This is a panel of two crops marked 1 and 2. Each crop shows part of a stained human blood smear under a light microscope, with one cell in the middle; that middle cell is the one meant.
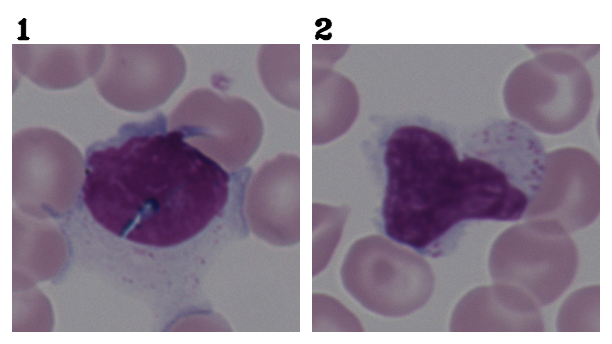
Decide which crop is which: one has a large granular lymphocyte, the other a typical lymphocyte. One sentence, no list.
To sum up the two crops, crop 1 is a large granular lymphocyte and crop 2 is a typical lymphocyte.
